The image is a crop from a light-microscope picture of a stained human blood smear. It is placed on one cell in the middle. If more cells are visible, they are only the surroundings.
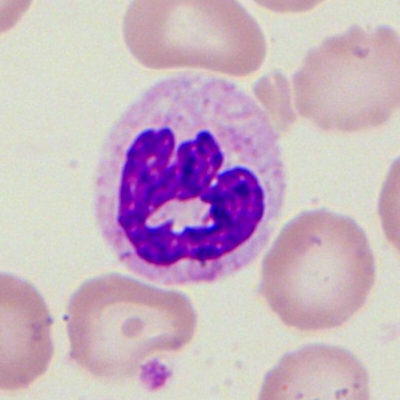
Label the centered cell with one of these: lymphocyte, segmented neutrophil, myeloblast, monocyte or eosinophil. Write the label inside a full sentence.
The cell at the heart of this crop is a segmented neutrophil.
